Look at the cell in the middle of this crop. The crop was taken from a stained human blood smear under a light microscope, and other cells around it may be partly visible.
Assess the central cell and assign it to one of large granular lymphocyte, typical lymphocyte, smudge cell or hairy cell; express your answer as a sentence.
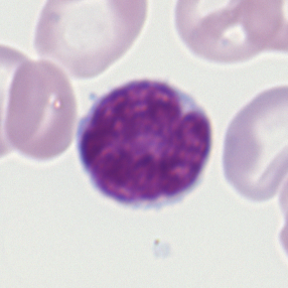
Standing at the centre of this crop is a typical lymphocyte.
